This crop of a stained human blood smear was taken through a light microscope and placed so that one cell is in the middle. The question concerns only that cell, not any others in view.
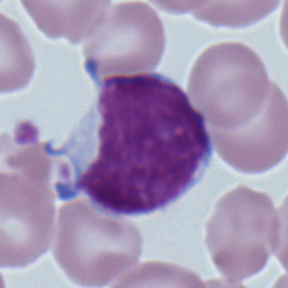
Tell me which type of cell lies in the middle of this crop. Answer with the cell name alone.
typical lymphocyte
